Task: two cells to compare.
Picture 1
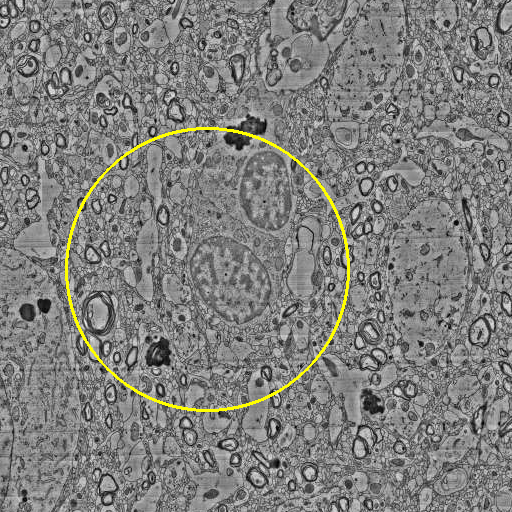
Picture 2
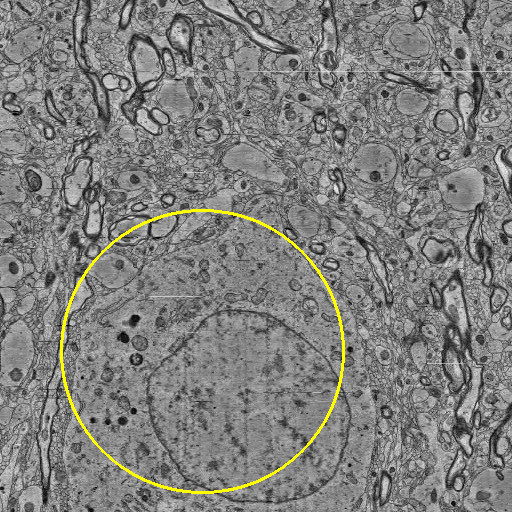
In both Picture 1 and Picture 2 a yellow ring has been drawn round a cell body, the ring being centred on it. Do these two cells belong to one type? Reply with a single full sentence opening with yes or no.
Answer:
No, the two cells at the ring centres in Picture 1 and Picture 2 are of two types.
